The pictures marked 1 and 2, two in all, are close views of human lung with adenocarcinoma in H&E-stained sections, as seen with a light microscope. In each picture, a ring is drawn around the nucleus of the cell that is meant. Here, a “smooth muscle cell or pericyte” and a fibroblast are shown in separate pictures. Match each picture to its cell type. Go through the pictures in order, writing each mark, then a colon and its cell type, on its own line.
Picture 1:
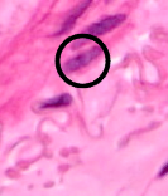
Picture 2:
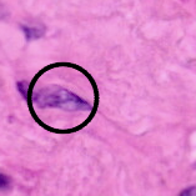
1: smooth muscle cell or pericyte
2: fibroblast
